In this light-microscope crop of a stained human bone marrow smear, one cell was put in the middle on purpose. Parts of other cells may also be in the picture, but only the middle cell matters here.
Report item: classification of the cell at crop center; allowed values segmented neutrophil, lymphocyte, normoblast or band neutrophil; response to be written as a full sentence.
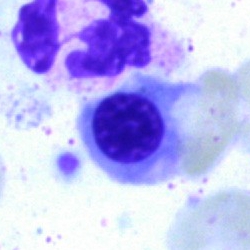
The cell at the central position in this crop is a normoblast.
